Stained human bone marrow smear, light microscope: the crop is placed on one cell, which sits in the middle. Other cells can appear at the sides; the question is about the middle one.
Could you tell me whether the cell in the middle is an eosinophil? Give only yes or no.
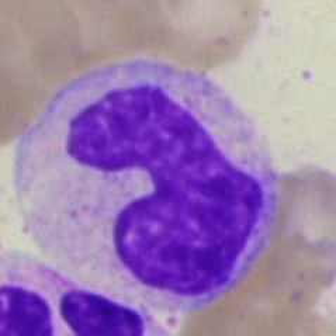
no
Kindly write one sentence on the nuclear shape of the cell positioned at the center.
Have a look at the nucleus, which is one compact mass, round, oval or kidney-shaped.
